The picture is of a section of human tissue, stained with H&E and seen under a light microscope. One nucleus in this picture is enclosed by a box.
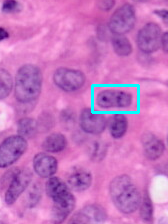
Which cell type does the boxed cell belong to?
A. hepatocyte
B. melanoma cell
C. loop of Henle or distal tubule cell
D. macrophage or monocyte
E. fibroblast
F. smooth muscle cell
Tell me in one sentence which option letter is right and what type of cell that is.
Since the boxed cell is a macrophage or monocyte, option D is correct.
